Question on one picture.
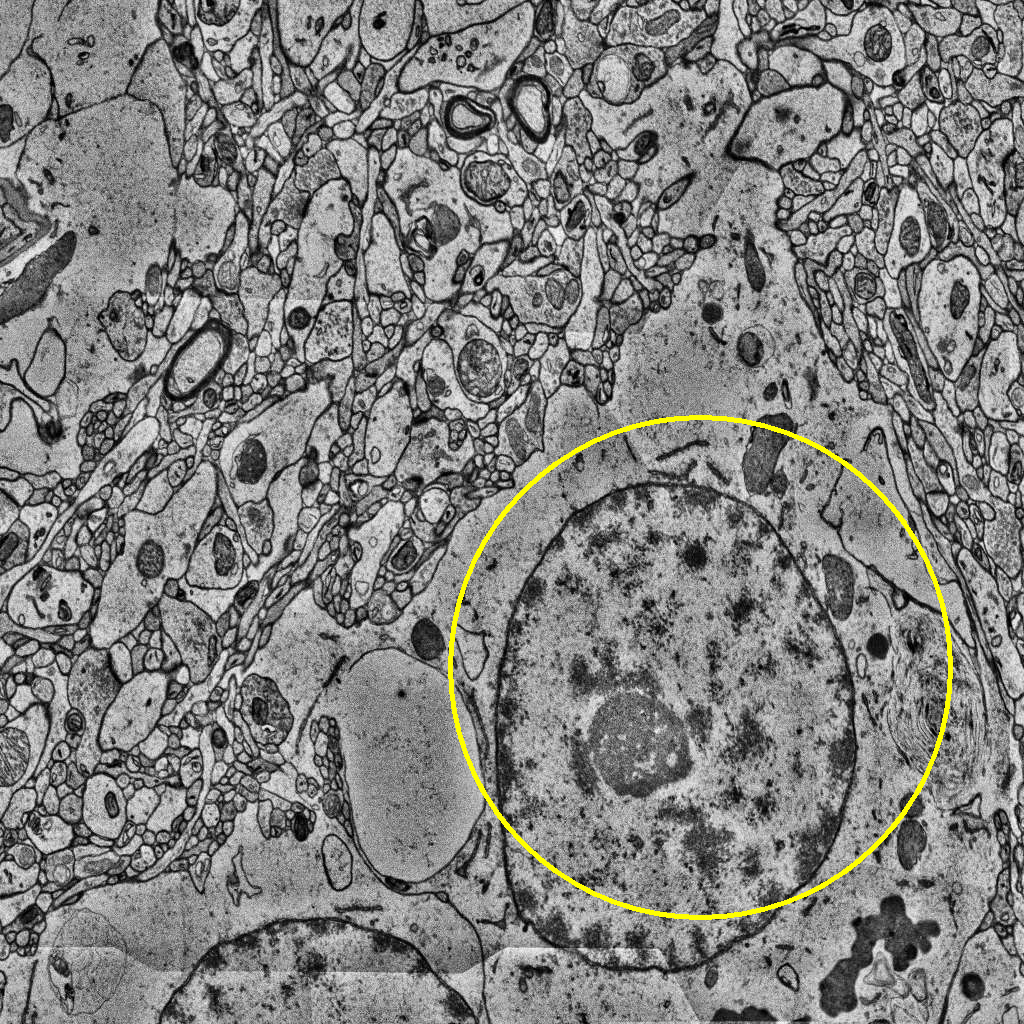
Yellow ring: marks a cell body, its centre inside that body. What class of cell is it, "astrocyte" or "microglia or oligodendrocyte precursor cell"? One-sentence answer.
This is an astrocyte, the cell at the ring's centre.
